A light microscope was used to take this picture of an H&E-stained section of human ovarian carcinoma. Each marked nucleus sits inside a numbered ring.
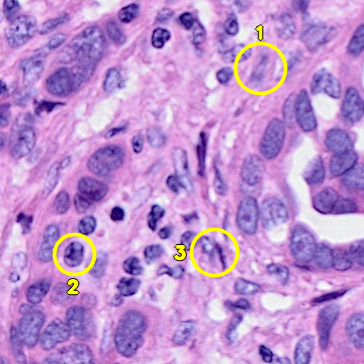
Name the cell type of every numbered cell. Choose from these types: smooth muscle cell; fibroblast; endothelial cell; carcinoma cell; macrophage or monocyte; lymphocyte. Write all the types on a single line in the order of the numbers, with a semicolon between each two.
fibroblast; lymphocyte; fibroblast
